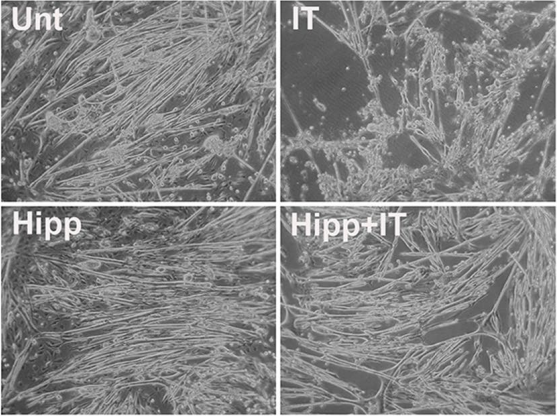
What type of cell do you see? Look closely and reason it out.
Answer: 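Long, thin, elongated fibres lie side by side in parallel bundles. The fibres are many times longer than the small rounded cells between them.
Answer: myotubes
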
